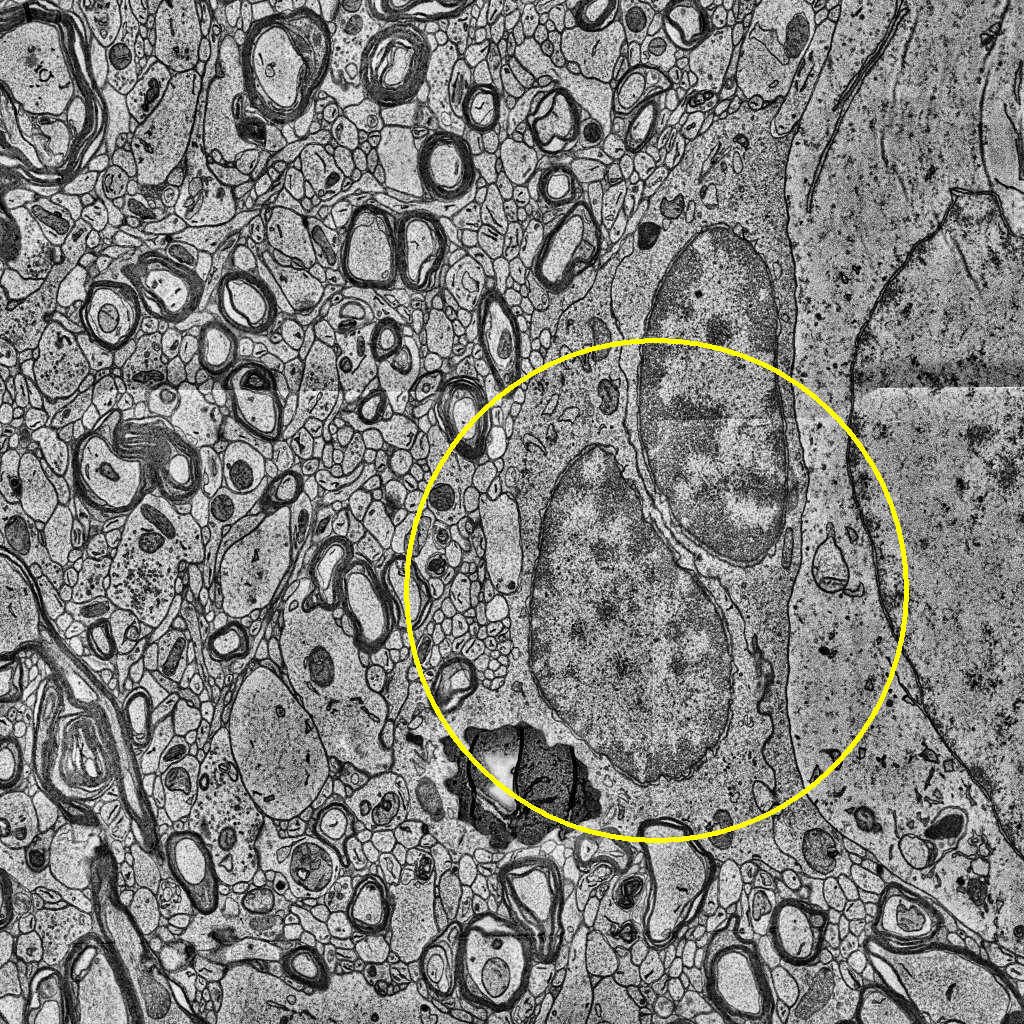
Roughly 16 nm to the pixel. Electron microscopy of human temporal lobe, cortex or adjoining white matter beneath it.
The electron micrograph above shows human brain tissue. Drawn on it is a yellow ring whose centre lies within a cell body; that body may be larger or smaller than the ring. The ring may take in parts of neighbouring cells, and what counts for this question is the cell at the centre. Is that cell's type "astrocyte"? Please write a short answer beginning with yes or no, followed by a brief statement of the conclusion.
No, its type is another one.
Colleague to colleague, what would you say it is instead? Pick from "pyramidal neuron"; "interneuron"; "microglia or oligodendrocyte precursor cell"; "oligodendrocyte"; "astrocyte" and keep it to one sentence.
This picture has an oligodendrocyte at the centre of its ring.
